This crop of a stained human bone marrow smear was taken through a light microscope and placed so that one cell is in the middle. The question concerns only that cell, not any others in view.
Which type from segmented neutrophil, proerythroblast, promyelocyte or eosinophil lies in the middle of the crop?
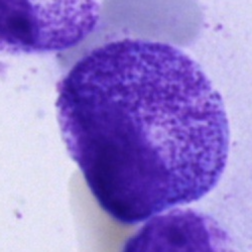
promyelocyte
